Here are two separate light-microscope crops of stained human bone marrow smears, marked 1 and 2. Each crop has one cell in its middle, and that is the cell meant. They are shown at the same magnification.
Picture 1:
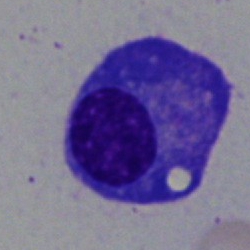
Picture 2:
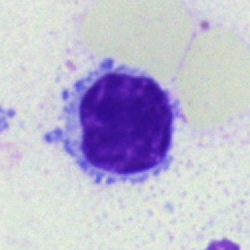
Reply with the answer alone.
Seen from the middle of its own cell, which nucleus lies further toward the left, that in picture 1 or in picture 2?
1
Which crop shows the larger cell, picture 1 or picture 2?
1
